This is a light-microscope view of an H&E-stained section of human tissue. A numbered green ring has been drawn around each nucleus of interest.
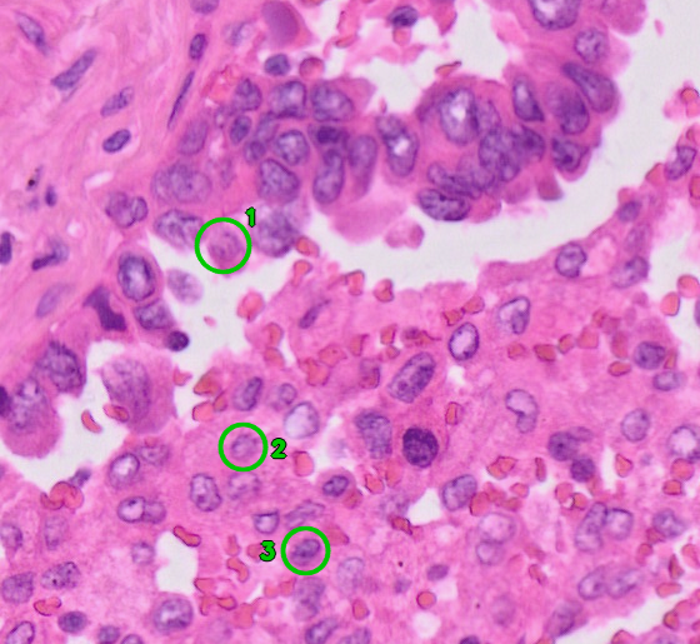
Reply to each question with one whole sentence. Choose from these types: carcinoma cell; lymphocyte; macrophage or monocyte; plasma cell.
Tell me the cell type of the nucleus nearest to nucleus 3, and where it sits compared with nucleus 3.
The nearest nucleus is that of a macrophage or monocyte and lies above nucleus 3.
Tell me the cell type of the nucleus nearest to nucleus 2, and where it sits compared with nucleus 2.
A macrophage or monocyte lies closest, below nucleus 2.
